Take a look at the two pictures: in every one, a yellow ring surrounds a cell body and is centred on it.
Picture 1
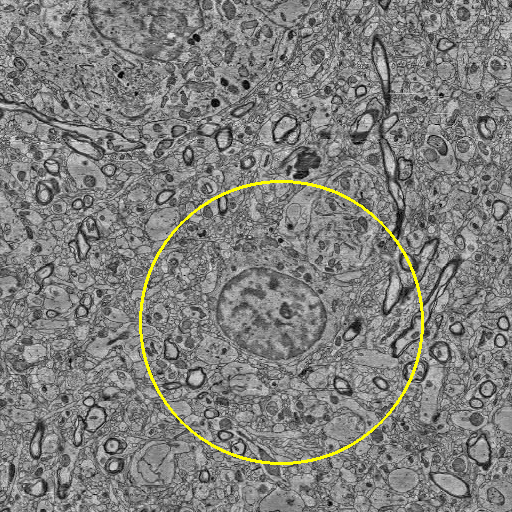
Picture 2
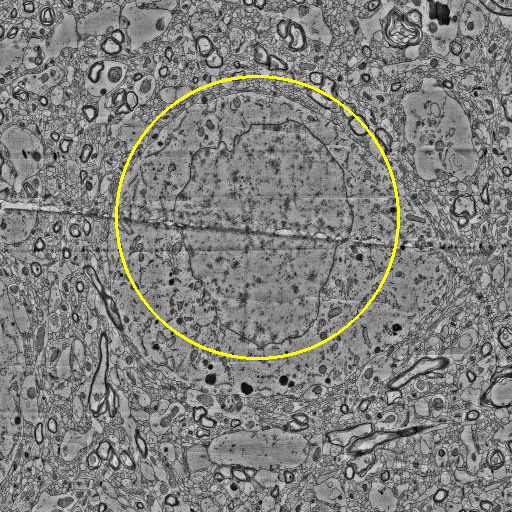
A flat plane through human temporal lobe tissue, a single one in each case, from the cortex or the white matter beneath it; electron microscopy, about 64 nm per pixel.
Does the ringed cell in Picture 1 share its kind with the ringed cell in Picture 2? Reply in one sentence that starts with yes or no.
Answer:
No, the two centred cells, one per picture, are of two kinds.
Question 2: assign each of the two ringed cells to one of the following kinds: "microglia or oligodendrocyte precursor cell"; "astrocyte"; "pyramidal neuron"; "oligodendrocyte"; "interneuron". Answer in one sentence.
The two cells are an oligodendrocyte in the first picture and a pyramidal neuron in the second.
